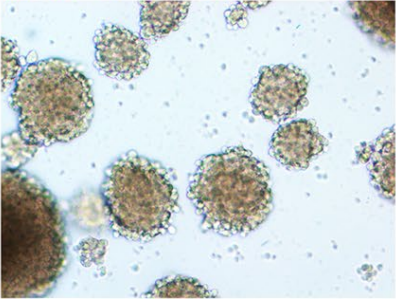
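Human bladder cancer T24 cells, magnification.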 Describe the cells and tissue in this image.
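The spheres differ in size, and one very large sphere at the lower left is out of focus. Between them lie single rounded cells and small clumps.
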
